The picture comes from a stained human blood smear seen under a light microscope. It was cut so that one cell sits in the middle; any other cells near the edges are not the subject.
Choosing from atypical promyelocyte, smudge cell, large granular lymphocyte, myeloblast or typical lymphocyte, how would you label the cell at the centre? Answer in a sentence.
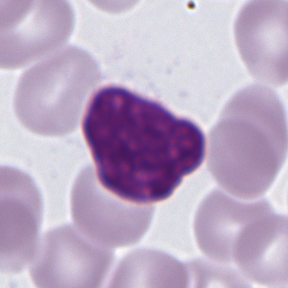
The center cell of this crop is a smudge cell.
